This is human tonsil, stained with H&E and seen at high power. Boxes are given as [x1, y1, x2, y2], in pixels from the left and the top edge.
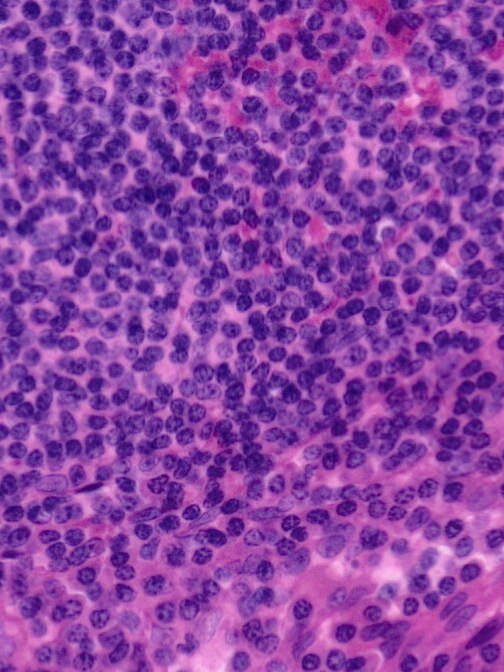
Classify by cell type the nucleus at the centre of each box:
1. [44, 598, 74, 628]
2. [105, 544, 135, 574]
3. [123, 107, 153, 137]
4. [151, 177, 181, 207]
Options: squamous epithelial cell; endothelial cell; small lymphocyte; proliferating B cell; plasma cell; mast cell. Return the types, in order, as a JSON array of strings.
["plasma cell", "plasma cell", "small lymphocyte", "small lymphocyte"]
